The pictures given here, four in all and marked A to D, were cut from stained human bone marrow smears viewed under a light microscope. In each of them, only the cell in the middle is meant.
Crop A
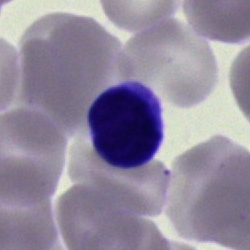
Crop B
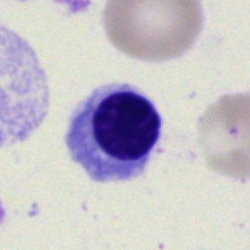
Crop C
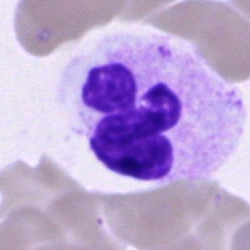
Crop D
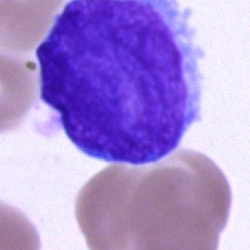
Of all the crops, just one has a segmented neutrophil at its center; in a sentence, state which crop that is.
The crop showing a segmented neutrophil in this series is crop C.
